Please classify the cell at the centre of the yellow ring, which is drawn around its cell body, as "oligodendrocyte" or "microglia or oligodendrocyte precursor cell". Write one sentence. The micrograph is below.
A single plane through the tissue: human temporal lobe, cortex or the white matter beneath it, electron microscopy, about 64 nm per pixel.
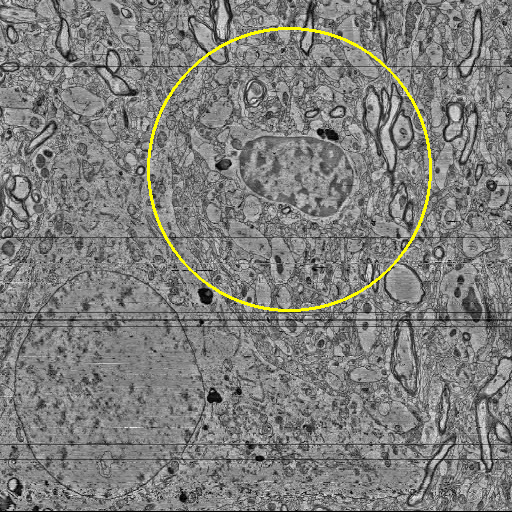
The cell at the ring's centre is classified as a microglial cell or oligodendrocyte precursor cell.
